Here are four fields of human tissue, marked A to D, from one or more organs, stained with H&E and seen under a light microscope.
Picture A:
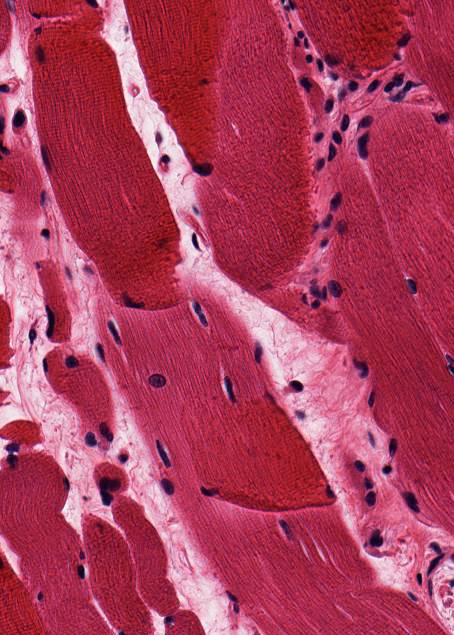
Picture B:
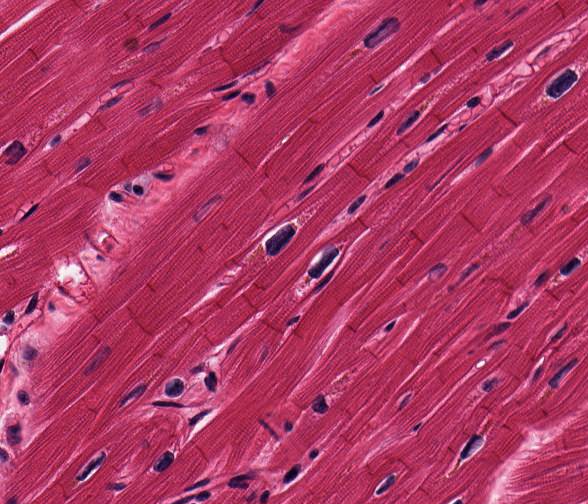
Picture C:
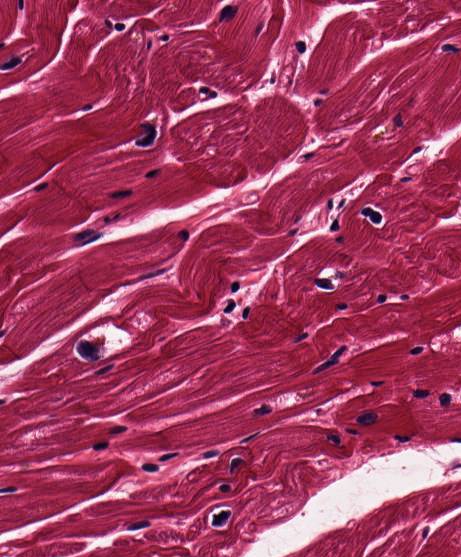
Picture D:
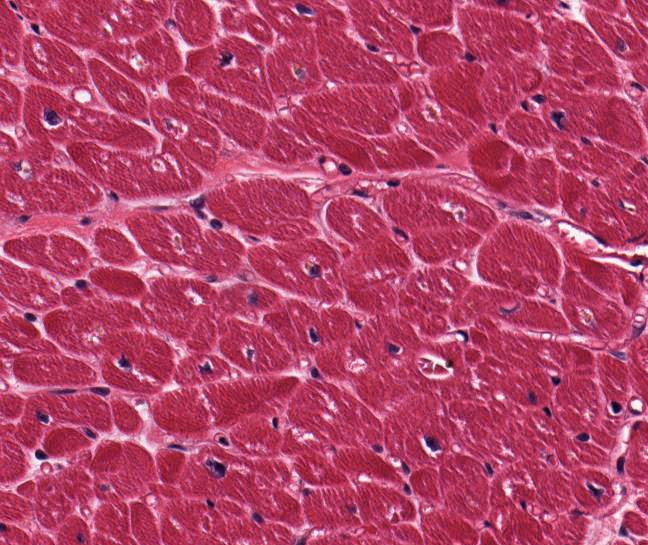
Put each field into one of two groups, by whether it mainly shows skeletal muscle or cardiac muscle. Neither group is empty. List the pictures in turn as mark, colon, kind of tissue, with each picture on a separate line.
A: skeletal muscle
B: cardiac muscle
C: cardiac muscle
D: cardiac muscle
